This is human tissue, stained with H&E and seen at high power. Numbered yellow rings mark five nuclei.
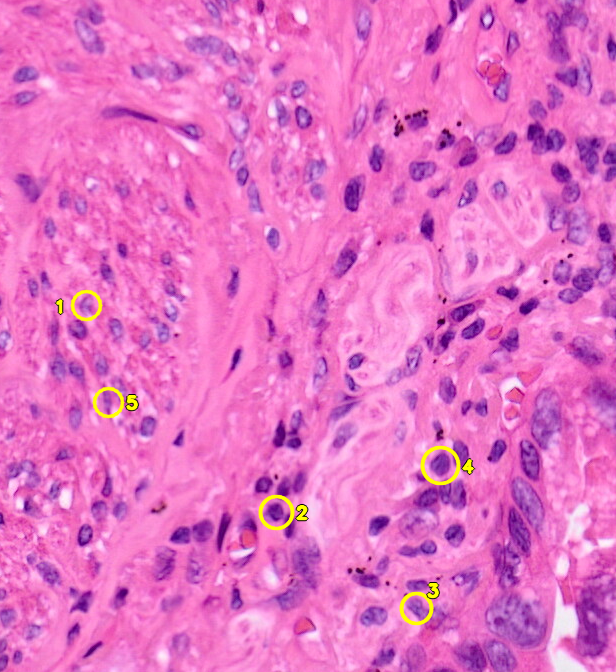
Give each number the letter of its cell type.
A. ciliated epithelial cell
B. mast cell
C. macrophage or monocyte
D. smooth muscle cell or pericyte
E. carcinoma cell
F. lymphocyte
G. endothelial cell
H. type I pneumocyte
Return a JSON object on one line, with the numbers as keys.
{"1": "D", "2": "F", "3": "F", "4": "F", "5": "D"}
